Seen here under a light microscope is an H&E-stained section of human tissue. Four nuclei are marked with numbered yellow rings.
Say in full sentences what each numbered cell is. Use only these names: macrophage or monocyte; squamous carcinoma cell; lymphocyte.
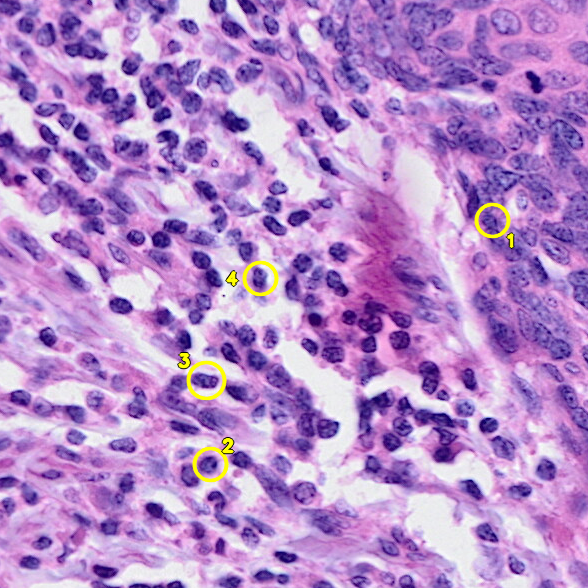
Cell 1 is a squamous carcinoma cell, cell 2 is a lymphocyte, cell 3 is a lymphocyte and cell 4 is a lymphocyte.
